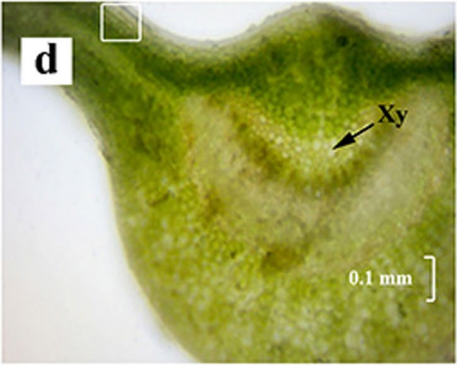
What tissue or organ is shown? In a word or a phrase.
Leaf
